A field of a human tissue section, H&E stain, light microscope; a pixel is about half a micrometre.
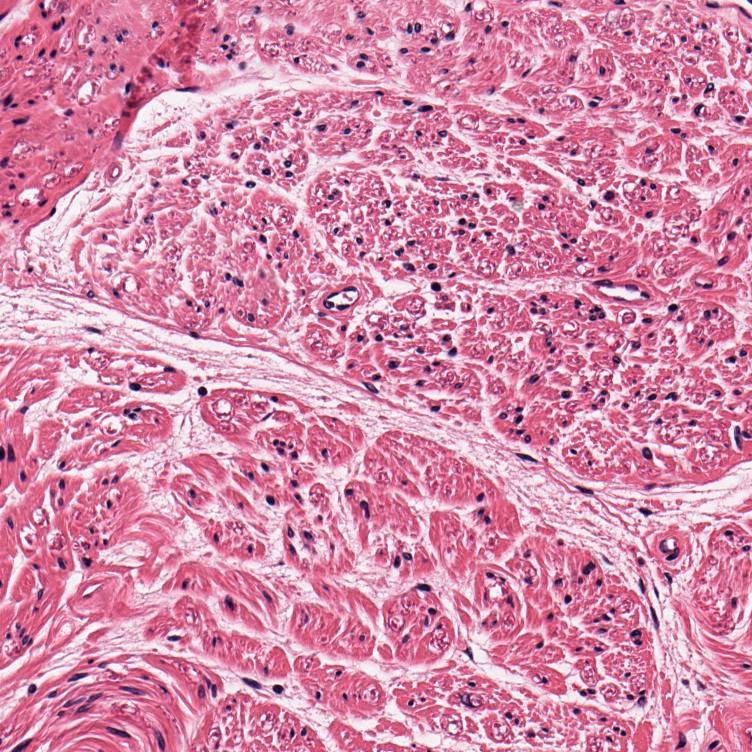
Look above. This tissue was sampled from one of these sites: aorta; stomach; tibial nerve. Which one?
tibial nerve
